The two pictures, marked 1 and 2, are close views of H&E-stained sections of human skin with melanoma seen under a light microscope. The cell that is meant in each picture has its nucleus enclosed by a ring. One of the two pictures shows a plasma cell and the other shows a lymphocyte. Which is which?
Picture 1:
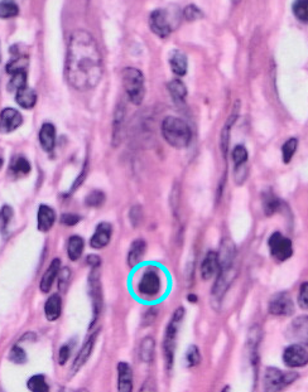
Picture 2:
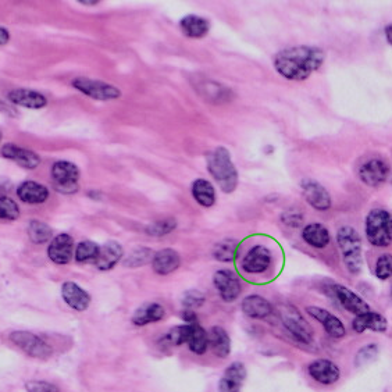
1: lymphocyte
2: plasma cell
